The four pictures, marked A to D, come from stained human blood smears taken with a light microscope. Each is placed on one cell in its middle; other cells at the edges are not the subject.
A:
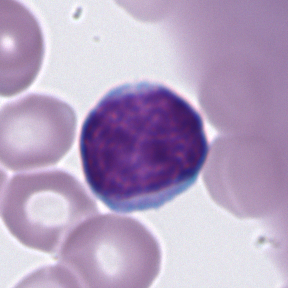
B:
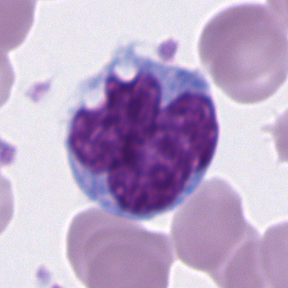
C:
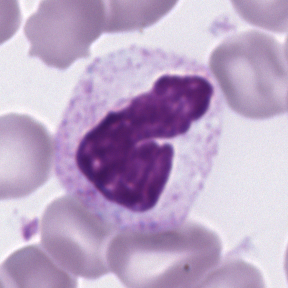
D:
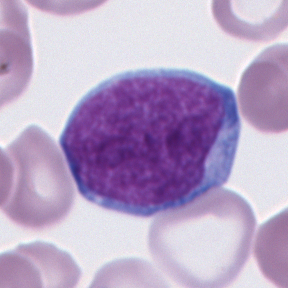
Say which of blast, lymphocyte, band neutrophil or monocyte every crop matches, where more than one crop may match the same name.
A: blast
B: monocyte
C: band neutrophil
D: blast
